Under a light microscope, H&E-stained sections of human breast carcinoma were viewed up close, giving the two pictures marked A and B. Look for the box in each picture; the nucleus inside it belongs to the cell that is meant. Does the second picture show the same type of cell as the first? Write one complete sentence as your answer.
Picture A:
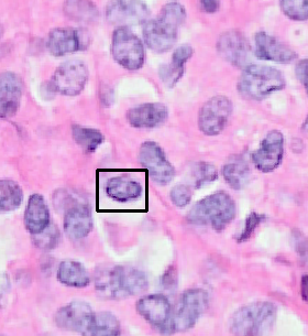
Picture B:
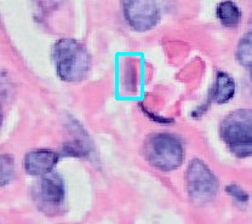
No. Picture A shows a carcinoma cell, but picture B shows an endothelial cell.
